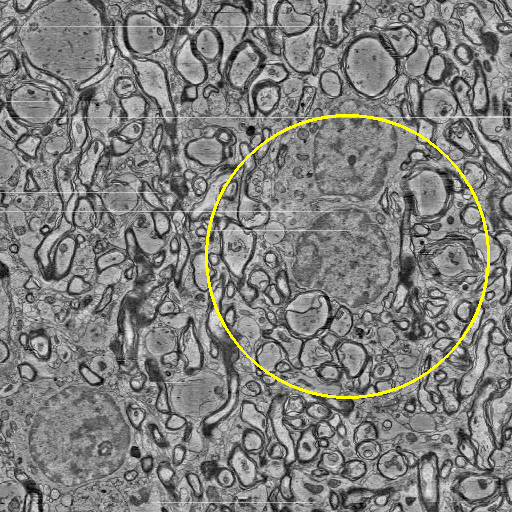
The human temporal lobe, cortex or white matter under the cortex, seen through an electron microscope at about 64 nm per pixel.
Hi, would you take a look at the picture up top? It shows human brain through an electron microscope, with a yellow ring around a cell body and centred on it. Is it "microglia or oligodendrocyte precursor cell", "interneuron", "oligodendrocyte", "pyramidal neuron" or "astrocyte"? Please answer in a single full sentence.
The best fit for the cell in the middle of the ring is an oligodendrocyte, I reckon.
